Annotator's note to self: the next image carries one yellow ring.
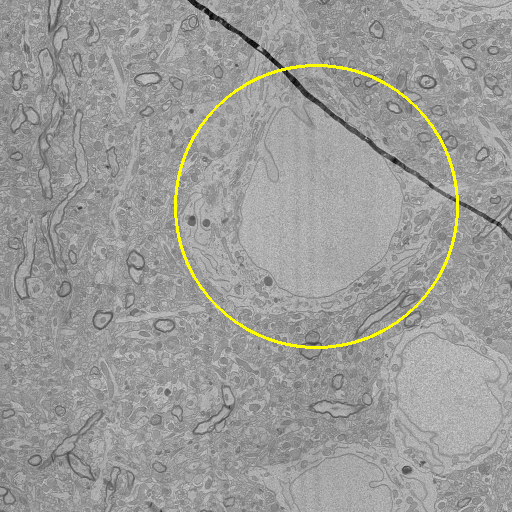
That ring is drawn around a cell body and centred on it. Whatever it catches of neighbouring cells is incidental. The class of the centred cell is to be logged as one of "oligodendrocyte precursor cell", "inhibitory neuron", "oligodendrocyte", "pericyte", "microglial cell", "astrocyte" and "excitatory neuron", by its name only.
excitatory neuron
